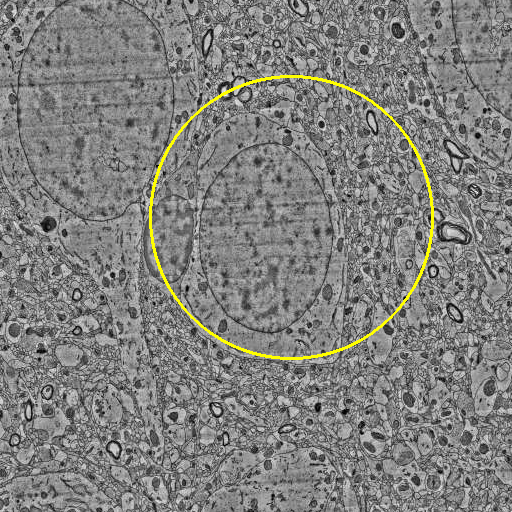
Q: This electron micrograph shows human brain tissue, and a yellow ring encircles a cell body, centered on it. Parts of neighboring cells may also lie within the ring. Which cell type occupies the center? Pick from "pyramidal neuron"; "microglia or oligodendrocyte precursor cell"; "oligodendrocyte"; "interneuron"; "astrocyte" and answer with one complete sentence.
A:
What sits at the ring's center in this micrograph is a pyramidal neuron, among those choices.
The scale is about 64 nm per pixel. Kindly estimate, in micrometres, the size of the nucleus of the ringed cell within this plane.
Roughly 12 by 8 micrometres is the size of the nucleus in this plane.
